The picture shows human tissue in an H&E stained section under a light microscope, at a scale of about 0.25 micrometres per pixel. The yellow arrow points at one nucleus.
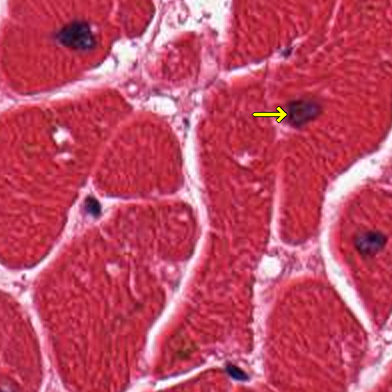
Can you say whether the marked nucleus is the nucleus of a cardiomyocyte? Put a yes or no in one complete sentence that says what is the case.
Yes, the marked nucleus, as shown, belongs to a cardiomyocyte.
